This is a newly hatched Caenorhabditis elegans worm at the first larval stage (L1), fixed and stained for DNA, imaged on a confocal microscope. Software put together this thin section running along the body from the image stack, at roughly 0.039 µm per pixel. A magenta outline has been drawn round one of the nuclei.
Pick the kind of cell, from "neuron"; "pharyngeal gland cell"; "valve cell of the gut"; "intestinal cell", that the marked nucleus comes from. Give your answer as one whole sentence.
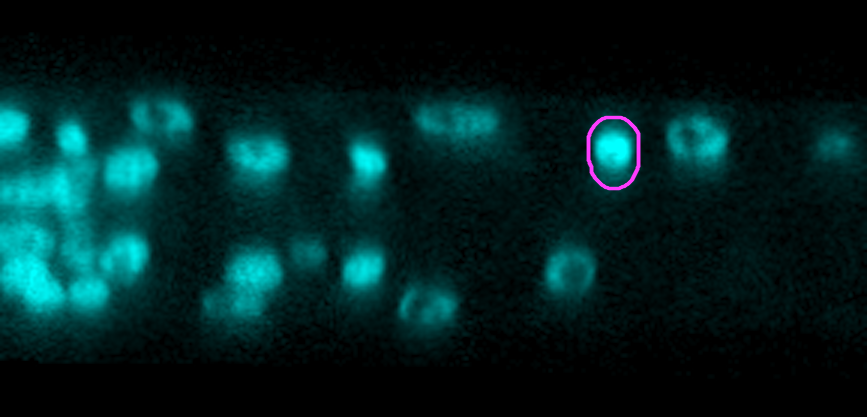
The cell with the marked nucleus is a neuron.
